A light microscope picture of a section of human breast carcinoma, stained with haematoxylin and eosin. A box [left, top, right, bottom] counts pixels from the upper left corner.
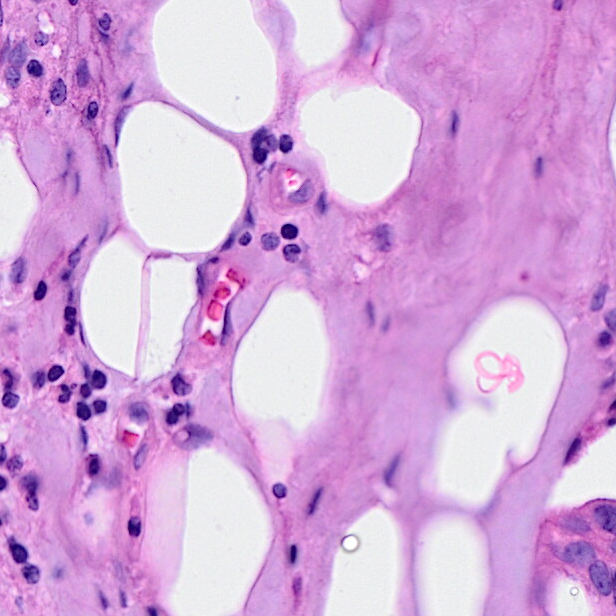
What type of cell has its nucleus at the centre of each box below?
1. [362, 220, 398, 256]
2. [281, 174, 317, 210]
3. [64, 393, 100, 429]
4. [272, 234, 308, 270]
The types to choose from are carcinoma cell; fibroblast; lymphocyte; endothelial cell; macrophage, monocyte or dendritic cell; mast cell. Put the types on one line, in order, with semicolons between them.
fibroblast; endothelial cell; lymphocyte; lymphocyte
